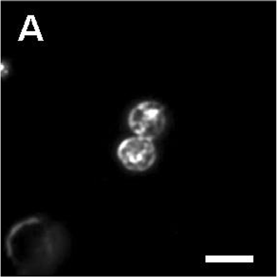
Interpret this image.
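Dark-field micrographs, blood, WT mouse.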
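Two platelets lie side by side near the centre, each with a smooth, rounded, disc-like outline and a bright rim with some finer bright texture inside. They are separate cells, touching only at their edges, and no clump of many platelets is present. A larger, faint, ring-like outline at the lower left edge is out of focus and much bigger than the platelets.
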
